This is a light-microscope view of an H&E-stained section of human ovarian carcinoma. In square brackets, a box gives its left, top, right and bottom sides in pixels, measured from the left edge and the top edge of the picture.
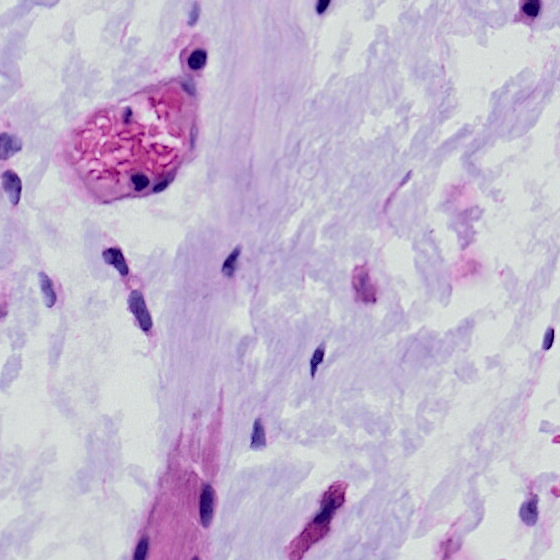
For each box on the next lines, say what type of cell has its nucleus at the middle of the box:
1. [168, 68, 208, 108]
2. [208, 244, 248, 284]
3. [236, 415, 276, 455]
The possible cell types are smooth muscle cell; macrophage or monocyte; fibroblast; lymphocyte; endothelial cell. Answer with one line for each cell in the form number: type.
1: endothelial cell
2: fibroblast
3: fibroblast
